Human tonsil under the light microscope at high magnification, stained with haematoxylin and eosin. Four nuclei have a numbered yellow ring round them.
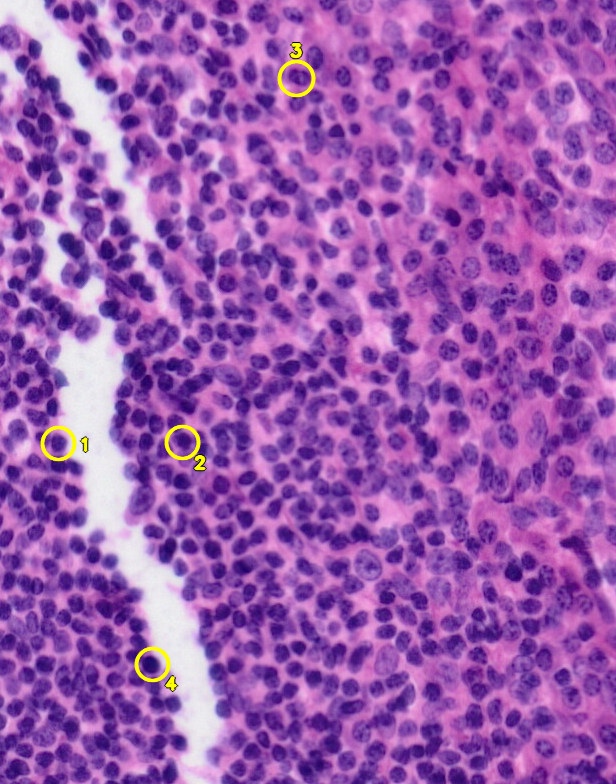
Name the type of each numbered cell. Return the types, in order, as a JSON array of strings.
["small lymphocyte", "small lymphocyte", "plasma cell", "small lymphocyte"]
